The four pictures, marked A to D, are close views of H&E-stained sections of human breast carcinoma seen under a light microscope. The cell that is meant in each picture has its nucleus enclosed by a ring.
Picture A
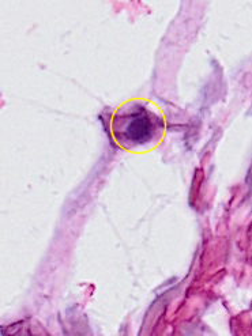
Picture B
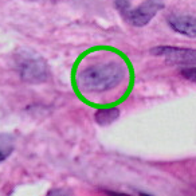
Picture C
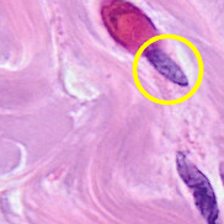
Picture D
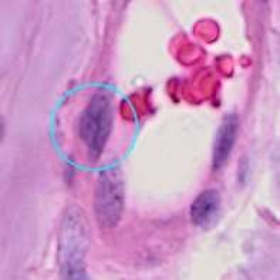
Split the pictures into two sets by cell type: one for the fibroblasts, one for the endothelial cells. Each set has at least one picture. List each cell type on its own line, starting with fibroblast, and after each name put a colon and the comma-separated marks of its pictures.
fibroblast: C
endothelial cell: A, B, D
